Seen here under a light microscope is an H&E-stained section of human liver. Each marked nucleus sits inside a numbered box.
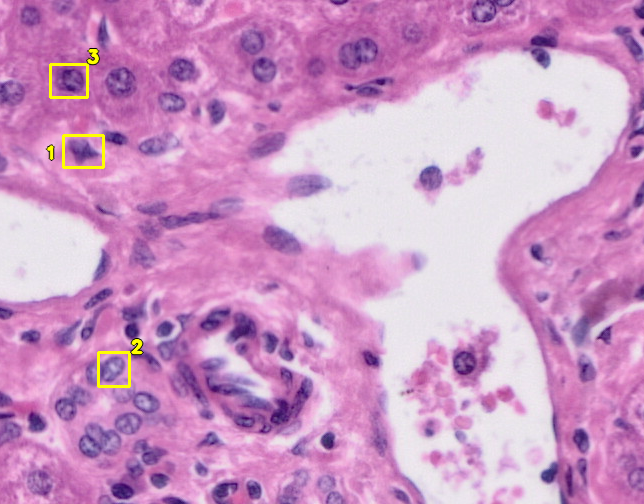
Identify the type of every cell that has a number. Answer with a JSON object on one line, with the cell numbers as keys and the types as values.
{"1": "fibroblast or stellate cell", "2": "cholangiocyte", "3": "hepatocyte"}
